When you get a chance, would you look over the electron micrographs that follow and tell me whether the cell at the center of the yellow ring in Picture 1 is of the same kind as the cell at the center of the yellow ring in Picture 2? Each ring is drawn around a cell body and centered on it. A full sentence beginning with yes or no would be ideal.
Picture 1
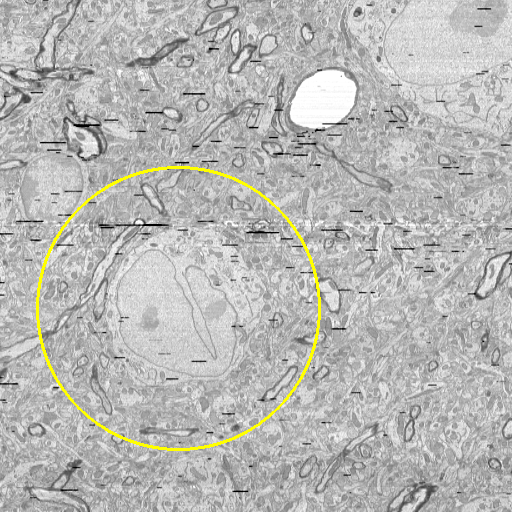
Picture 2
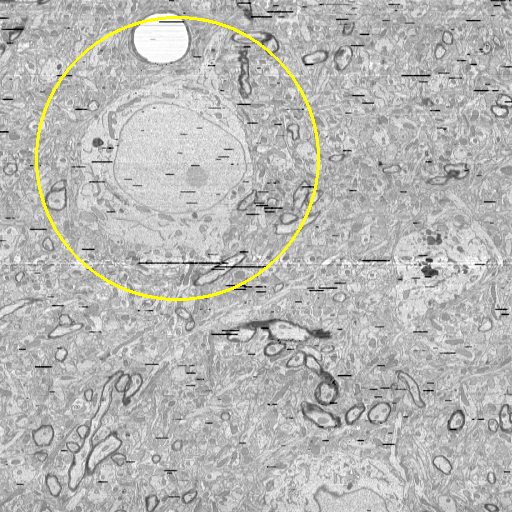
Yes, the two cells are of the same kind.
